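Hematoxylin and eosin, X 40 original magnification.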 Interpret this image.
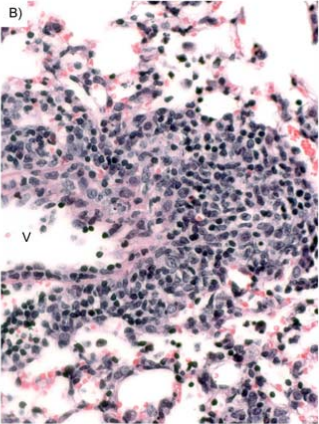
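Lung tissue with a dense perivascular infiltrate of mononuclear cells, mostly small lymphocytes, beside a vessel lumen. The cells have small, round, dark-purple nuclei with scant cytoplasm and lie crowded in many layers within the vessel wall and surrounding tissue. Thin pink strands of connective tissue run between them. Around the infiltrate, thin alveolar walls with red blood cells open onto clear air spaces.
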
